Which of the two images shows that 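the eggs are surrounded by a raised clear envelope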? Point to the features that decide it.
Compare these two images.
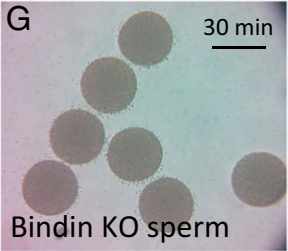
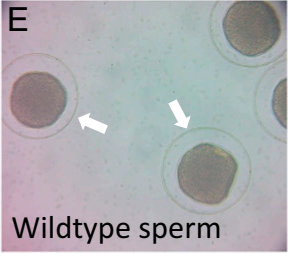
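First image: the eggs have no ring around them and sperm-like specks sit at their surfaces. Second image: each egg is surrounded by a thin clear ring separated from it by a clear space. On this evidence: the second image.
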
